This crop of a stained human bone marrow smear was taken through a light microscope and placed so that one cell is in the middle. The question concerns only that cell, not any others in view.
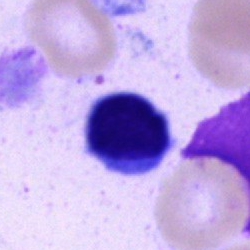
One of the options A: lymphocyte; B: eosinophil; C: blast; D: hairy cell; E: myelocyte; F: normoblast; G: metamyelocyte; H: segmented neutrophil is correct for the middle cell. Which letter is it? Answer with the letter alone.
A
